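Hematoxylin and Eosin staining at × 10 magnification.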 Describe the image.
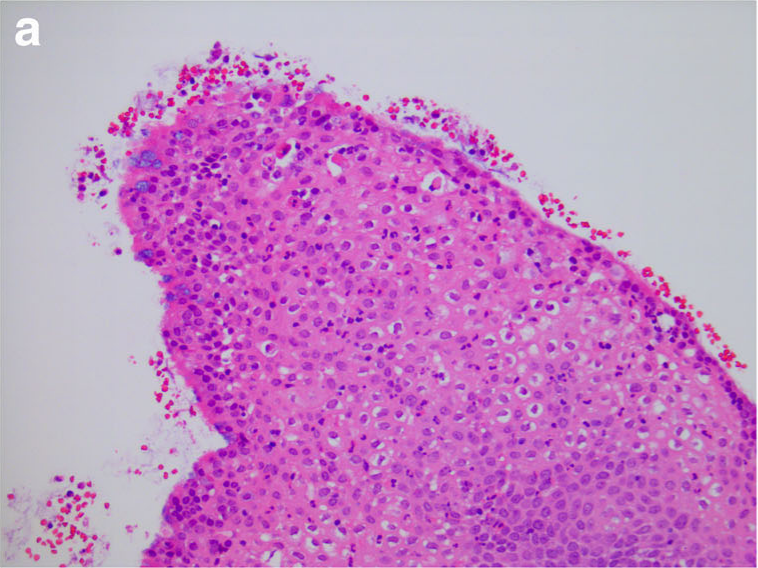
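This low-power view shows a fragment of stratified squamous epithelium stained pink and purple. The sheet is many cells thick, made of polygonal cells with pink cytoplasm and round purple nuclei. Toward the lower right the cells are smaller and more tightly packed, while in the middle they are larger with small clear spaces between them. Along the upper edge many small dark nuclei crowd the surface, and loose red blood cells lie outside the fragment. No layer of keratin covers the surface.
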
